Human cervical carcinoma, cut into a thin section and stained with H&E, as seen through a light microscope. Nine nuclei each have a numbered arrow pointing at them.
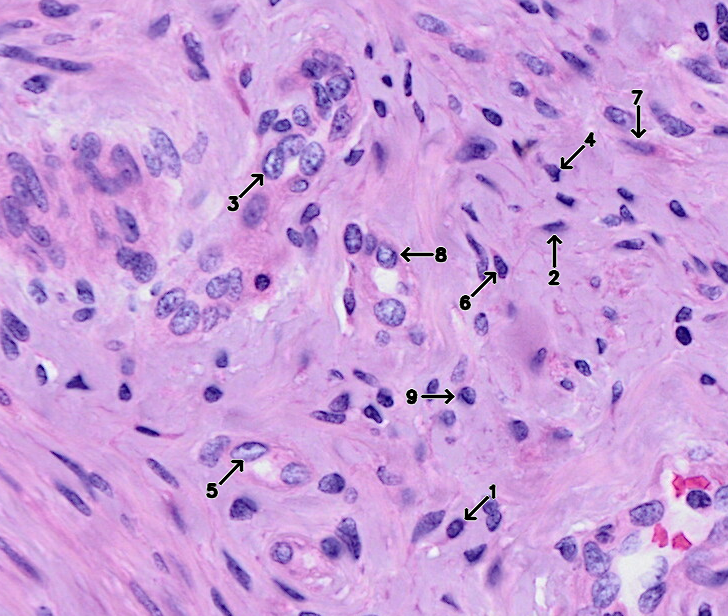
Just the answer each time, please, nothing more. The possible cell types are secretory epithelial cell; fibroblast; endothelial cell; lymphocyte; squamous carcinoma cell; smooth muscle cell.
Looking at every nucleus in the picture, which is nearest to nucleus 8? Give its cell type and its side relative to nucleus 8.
an endothelial cell; above and to the left of nucleus 8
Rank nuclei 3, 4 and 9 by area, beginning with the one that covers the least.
4, 9, 3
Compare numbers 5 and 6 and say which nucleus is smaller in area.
6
